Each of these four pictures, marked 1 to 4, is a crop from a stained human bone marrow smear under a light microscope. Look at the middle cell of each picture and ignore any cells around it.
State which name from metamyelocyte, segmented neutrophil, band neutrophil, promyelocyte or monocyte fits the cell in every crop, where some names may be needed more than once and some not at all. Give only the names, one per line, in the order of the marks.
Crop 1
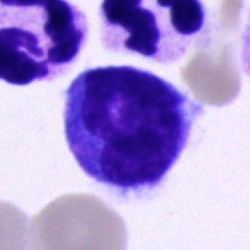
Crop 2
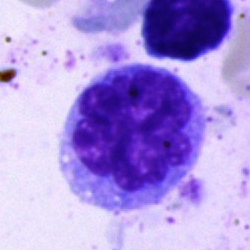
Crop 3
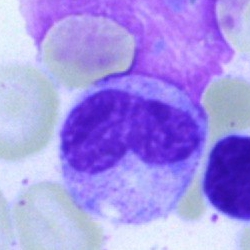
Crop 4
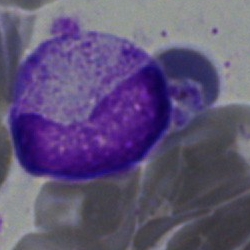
monocyte
monocyte
band neutrophil
metamyelocyte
